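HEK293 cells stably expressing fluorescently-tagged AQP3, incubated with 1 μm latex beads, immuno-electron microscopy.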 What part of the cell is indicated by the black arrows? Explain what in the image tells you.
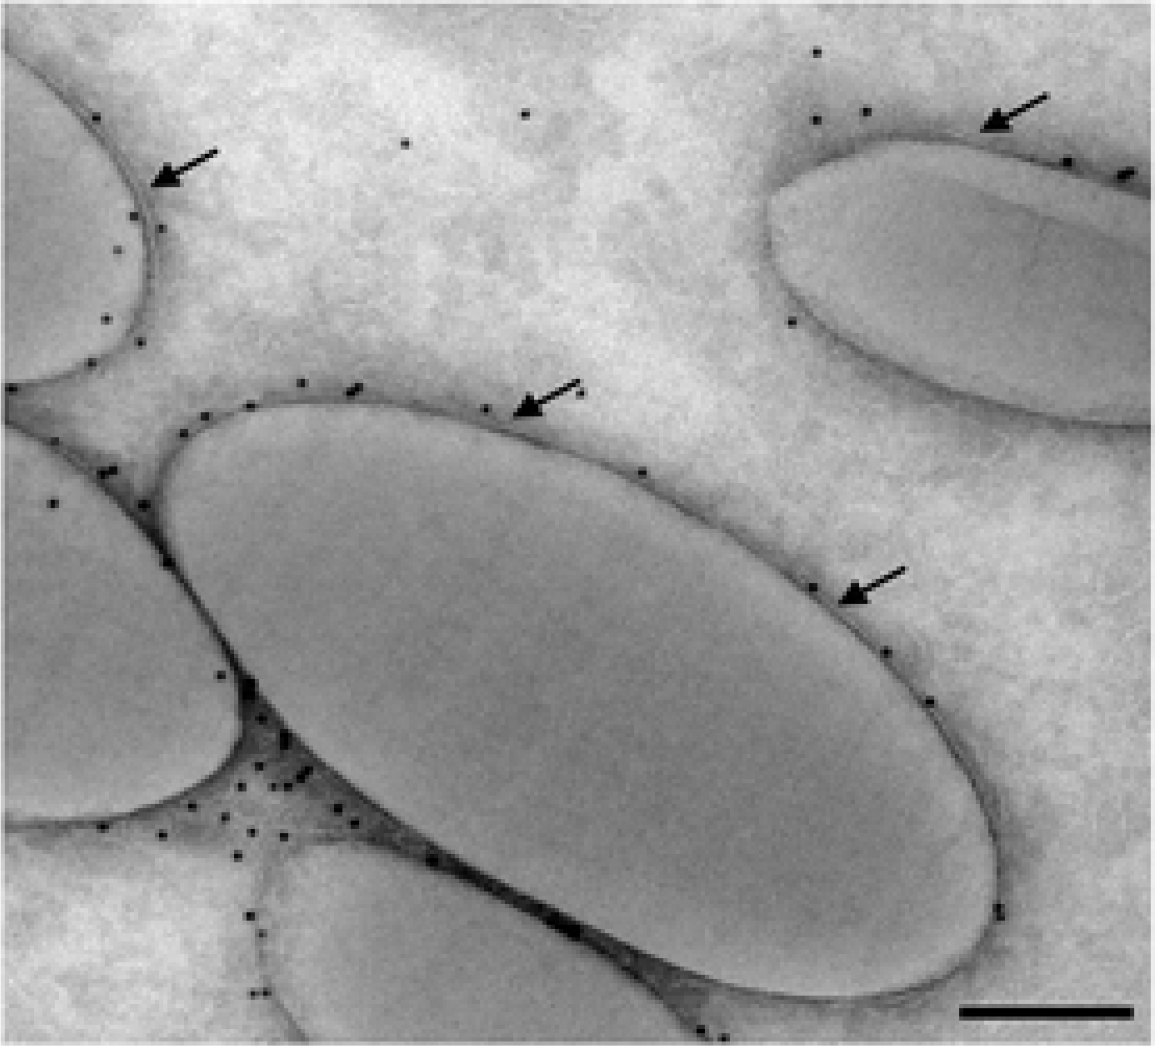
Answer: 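Phagosomal membrane. Arrows point to the thin dark line bordering the large oval bodies. Small black dots lie along that line.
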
